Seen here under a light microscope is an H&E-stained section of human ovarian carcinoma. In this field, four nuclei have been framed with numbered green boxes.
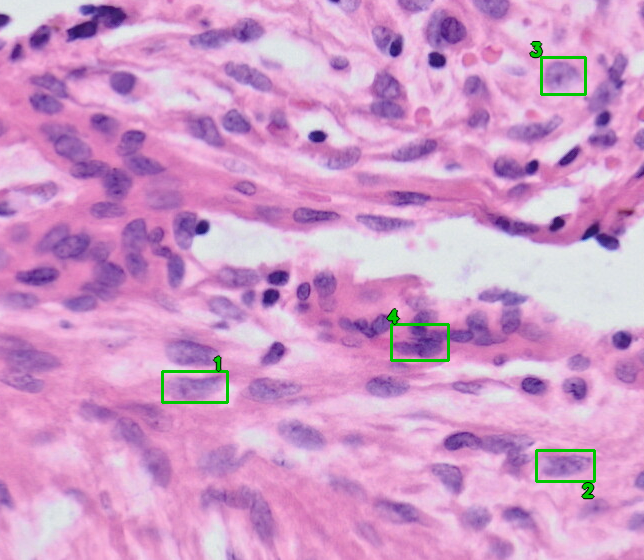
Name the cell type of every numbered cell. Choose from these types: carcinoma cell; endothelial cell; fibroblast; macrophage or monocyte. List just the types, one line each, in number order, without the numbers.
fibroblast
fibroblast
fibroblast
endothelial cell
